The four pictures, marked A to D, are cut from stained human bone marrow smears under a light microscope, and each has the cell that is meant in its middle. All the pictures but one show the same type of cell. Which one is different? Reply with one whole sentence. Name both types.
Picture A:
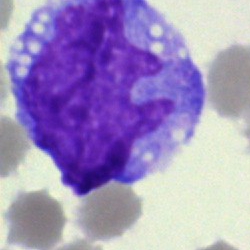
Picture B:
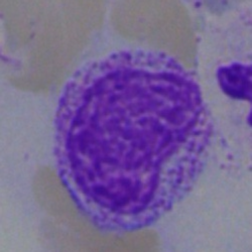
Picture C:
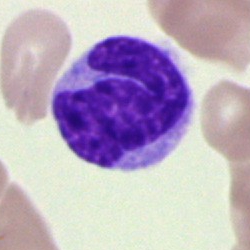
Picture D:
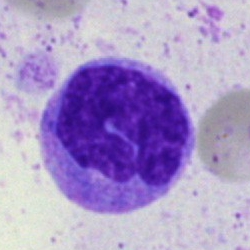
Picture B is the odd one out: it shows a myelocyte, while the others show monocytes.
